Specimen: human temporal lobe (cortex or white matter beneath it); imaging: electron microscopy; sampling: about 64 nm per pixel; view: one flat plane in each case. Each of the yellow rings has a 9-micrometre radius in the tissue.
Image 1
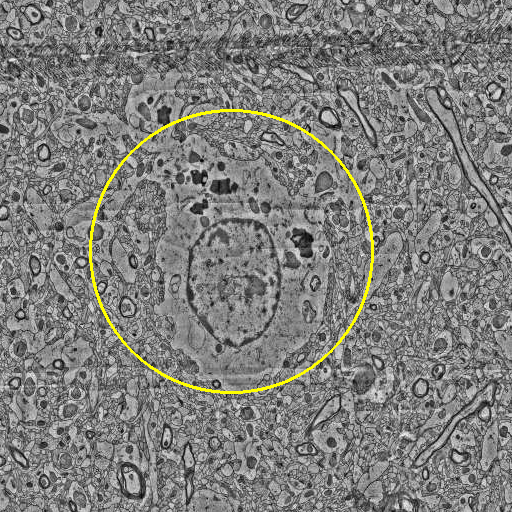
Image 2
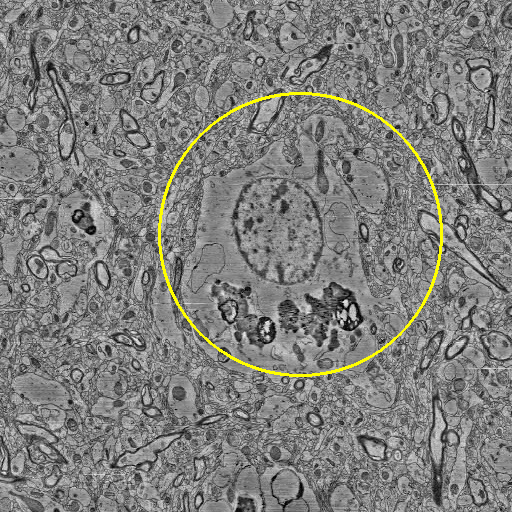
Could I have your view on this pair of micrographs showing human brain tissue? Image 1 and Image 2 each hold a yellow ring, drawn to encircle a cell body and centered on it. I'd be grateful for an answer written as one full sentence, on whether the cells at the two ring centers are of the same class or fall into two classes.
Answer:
The cells at the centers of the two rings are of the same class.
